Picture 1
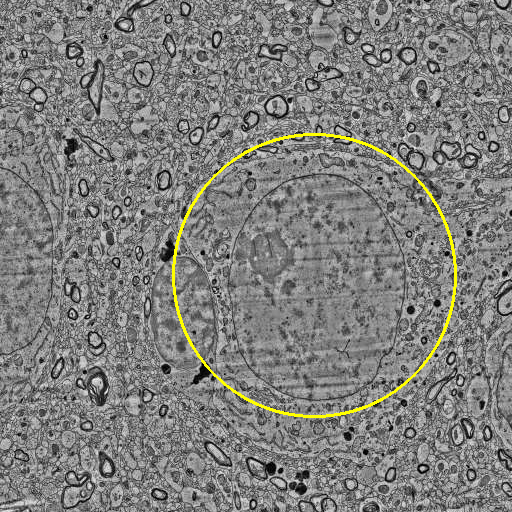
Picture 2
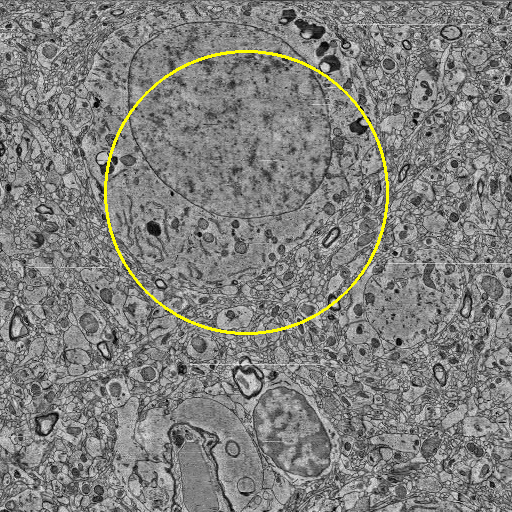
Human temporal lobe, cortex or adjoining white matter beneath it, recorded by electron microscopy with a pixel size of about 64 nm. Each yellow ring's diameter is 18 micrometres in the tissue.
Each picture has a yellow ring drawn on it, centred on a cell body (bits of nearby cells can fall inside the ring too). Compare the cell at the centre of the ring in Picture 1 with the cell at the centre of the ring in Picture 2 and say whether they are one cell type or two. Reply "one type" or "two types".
one type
